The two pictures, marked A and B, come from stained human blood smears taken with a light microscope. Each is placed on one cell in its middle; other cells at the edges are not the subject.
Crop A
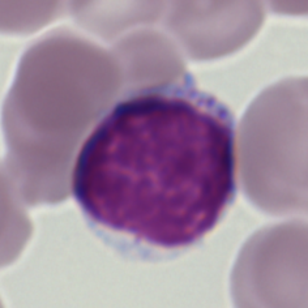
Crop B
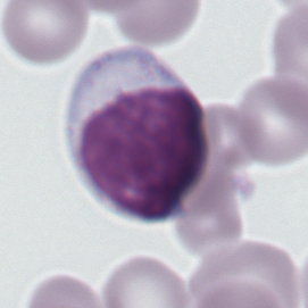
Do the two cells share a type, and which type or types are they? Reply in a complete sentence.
Yes, for both crops, the central cells are large granular lymphocytes.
